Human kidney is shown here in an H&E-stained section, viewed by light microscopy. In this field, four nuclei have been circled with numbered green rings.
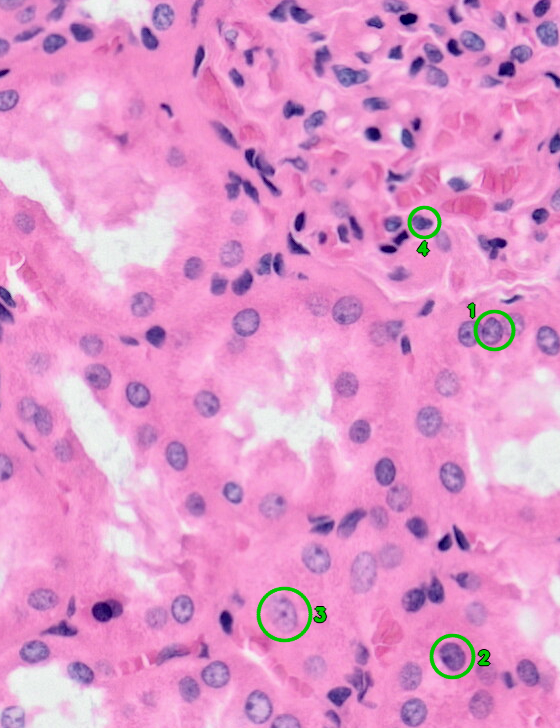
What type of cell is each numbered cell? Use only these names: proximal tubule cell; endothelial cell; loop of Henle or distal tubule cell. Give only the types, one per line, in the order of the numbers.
proximal tubule cell
proximal tubule cell
proximal tubule cell
endothelial cell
